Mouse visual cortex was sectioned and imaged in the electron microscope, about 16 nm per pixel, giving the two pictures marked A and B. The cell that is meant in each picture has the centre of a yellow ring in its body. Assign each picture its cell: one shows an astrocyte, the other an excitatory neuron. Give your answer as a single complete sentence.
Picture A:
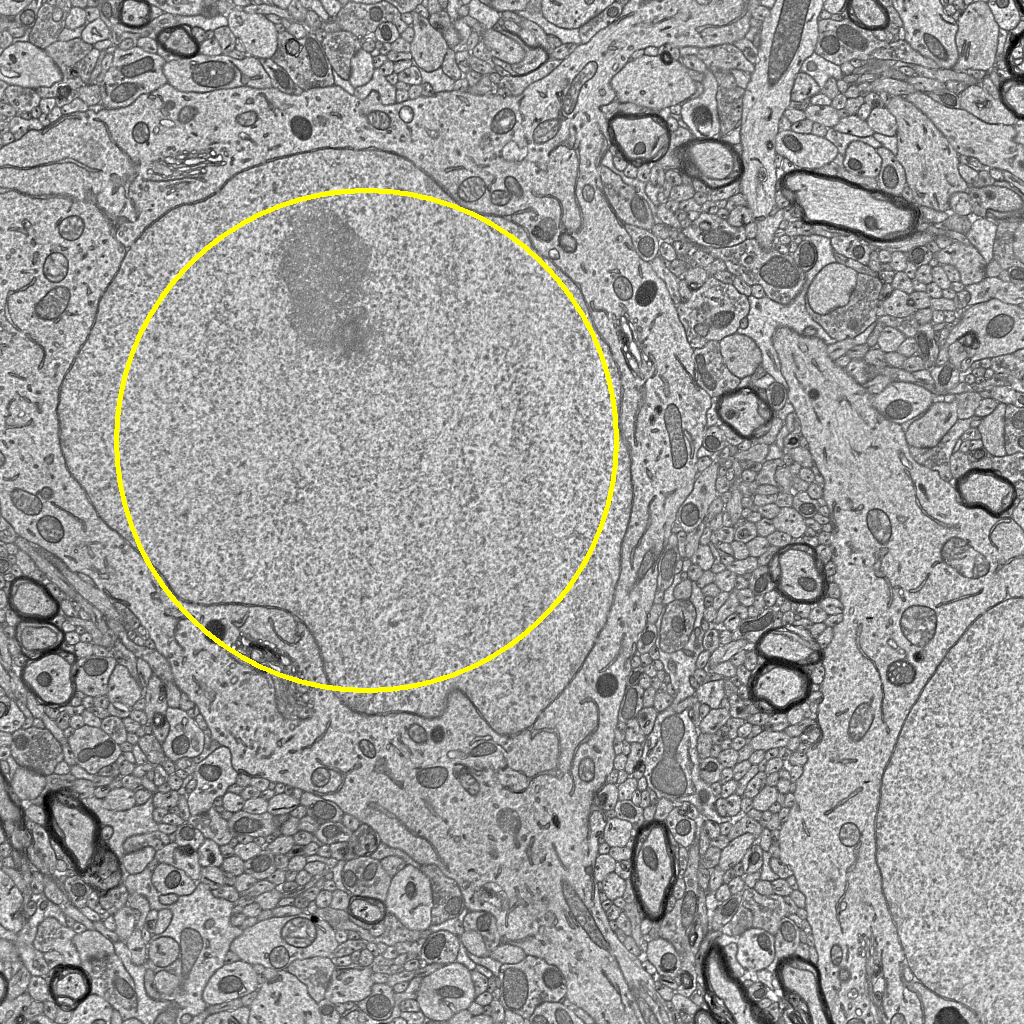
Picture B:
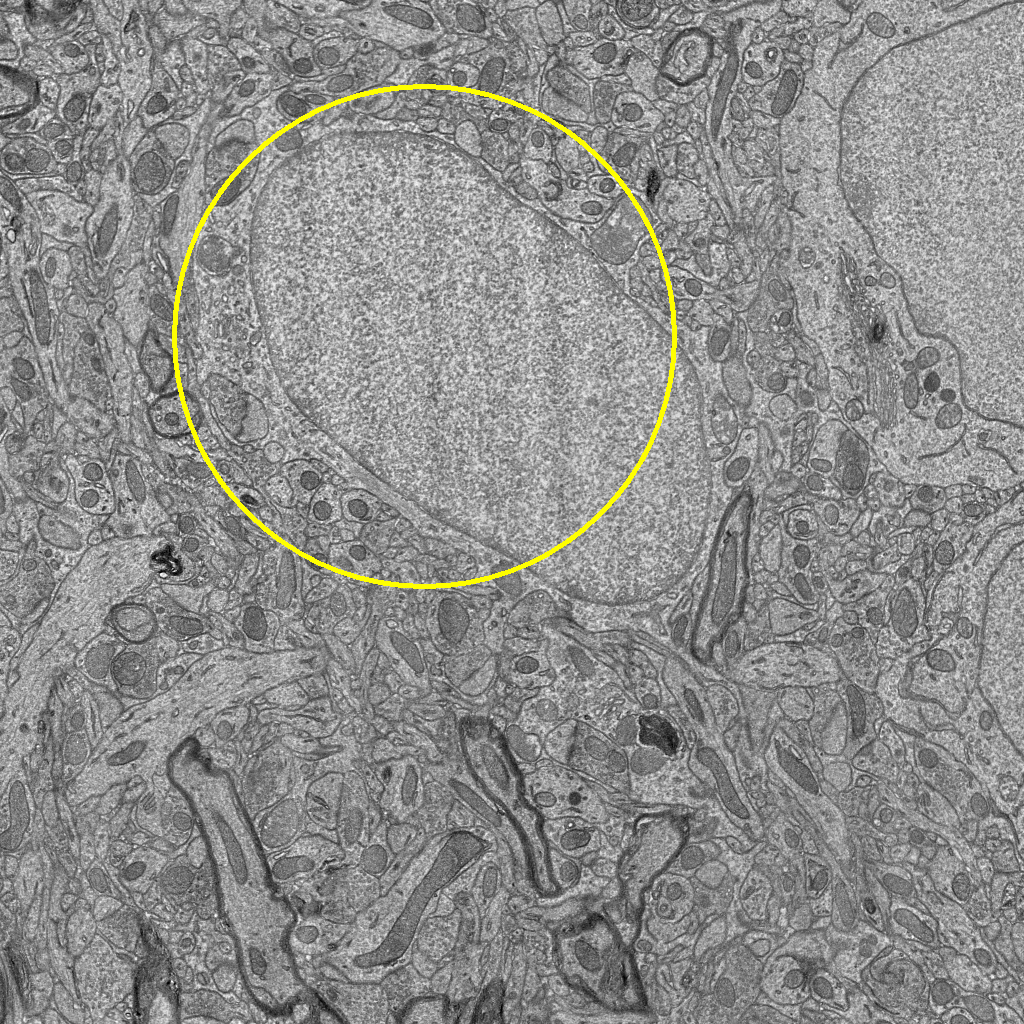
Picture B shows an astrocyte, while picture A shows an excitatory neuron.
